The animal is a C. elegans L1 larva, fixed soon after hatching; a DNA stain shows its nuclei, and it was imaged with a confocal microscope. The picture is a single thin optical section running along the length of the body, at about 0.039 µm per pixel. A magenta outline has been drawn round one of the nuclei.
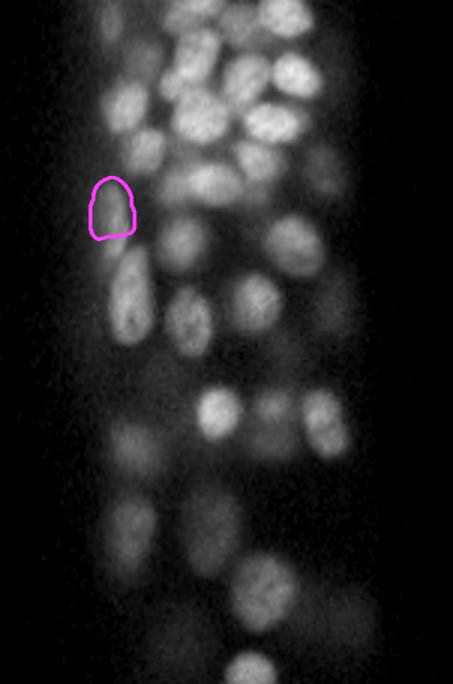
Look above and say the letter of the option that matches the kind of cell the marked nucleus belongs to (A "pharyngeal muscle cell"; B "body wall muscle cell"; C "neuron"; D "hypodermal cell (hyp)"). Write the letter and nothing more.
B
